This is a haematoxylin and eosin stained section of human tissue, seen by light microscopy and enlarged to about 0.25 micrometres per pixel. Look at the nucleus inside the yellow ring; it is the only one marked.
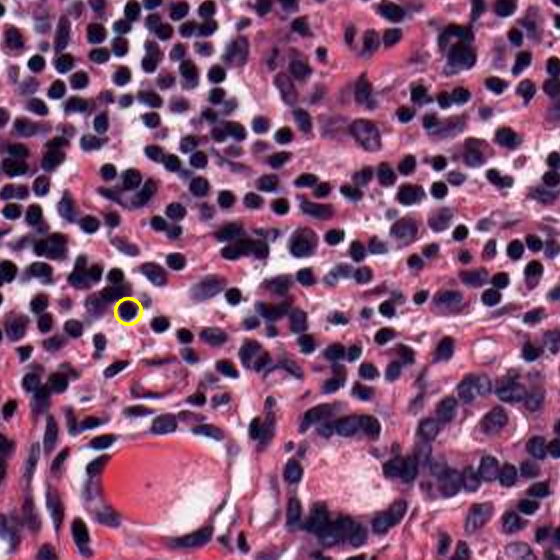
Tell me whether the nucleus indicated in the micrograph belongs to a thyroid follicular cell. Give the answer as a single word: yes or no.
no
